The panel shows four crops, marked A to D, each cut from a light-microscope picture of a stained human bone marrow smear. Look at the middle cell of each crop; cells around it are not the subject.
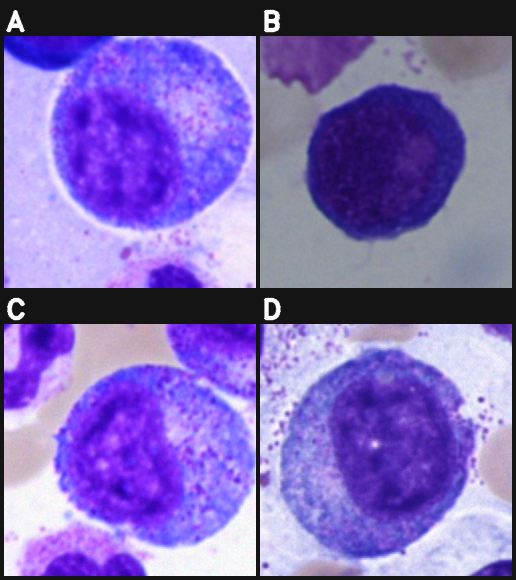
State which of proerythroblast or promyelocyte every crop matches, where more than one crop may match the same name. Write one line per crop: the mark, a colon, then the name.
A: promyelocyte
B: proerythroblast
C: promyelocyte
D: promyelocyte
